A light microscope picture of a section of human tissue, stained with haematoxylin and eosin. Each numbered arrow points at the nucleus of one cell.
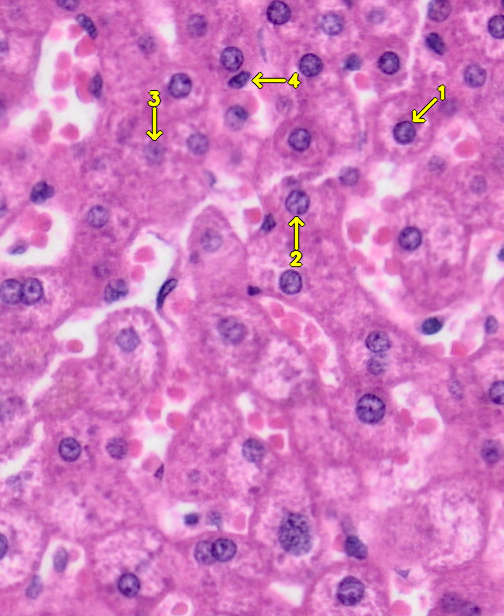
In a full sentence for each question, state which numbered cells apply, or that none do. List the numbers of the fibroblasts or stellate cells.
Cell 4 is a fibroblast or stellate cell, while every other numbered cell is not.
